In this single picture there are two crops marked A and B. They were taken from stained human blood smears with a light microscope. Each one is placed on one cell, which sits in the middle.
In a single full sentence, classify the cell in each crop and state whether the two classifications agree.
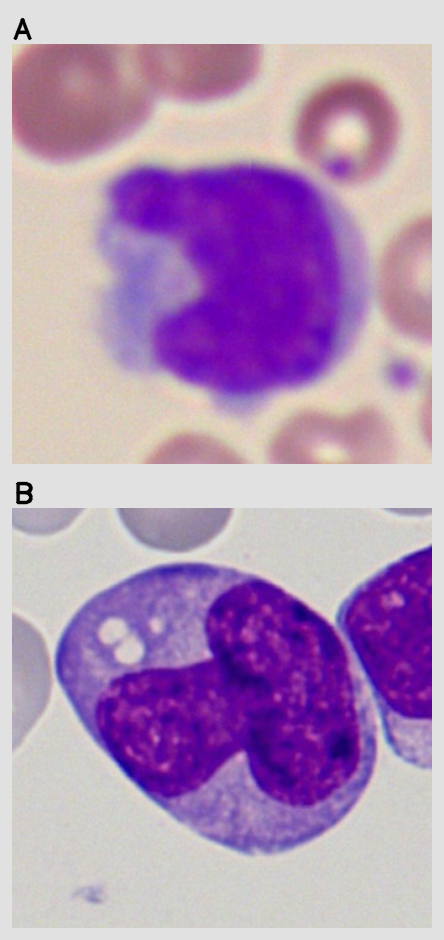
Yes, both crops in the pair show monocytes.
